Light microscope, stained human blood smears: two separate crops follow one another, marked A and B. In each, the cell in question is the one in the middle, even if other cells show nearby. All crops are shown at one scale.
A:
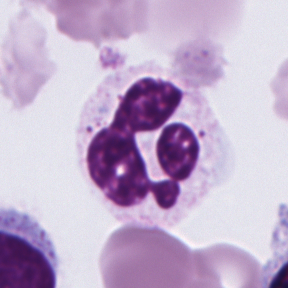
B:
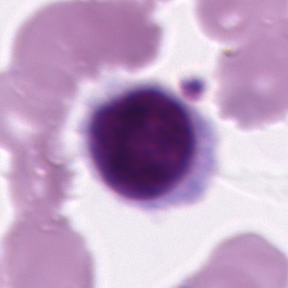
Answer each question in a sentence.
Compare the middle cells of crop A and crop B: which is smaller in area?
The cell in crop B is smaller; the one in crop A has about 1.5 times its area.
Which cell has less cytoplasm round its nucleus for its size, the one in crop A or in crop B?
Of the two, the nucleus in crop B makes up the greater part of its cell.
